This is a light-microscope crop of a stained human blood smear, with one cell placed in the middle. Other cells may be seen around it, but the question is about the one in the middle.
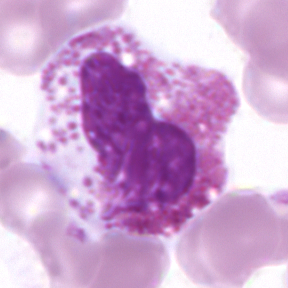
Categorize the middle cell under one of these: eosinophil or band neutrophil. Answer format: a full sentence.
The cell at the central position in this crop is an eosinophil.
